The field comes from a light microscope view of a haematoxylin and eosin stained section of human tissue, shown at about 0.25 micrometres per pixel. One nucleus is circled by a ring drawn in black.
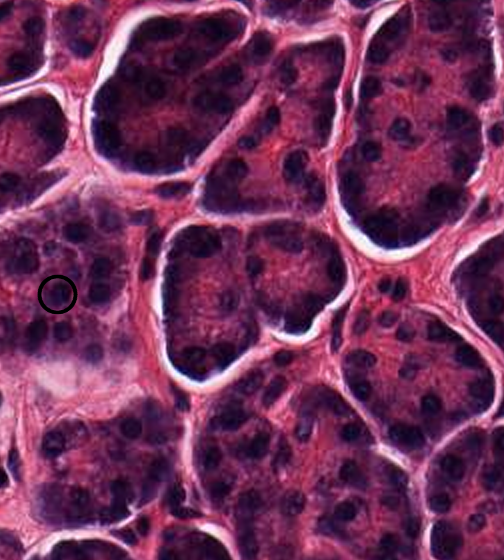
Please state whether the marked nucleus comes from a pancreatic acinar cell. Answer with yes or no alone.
yes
